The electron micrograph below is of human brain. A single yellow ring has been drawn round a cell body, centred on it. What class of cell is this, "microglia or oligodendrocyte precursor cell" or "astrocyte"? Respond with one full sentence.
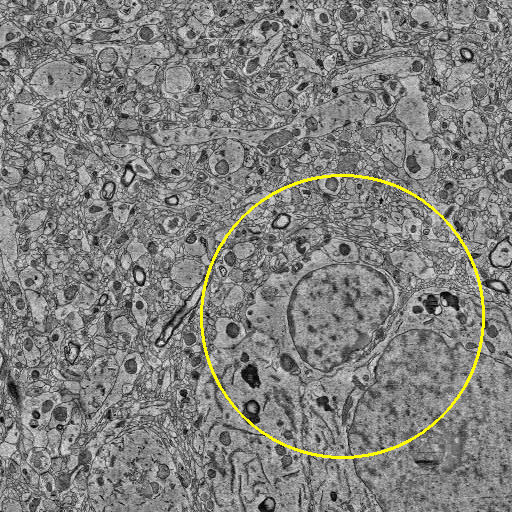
In the micrograph, the cell centred inside the yellow ring is a microglial cell or oligodendrocyte precursor cell.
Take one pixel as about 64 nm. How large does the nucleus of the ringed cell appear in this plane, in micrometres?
About 7 by 6 micrometers, in this plane.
